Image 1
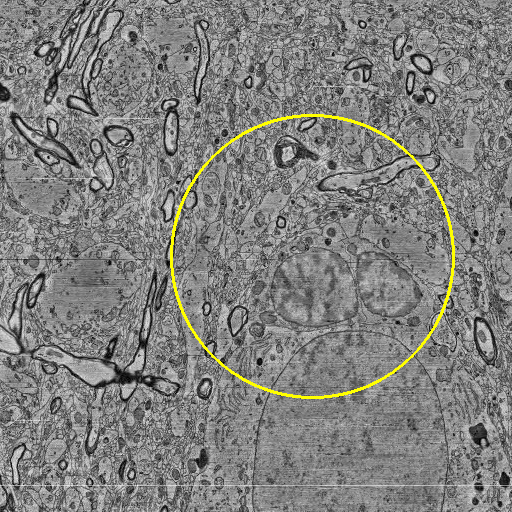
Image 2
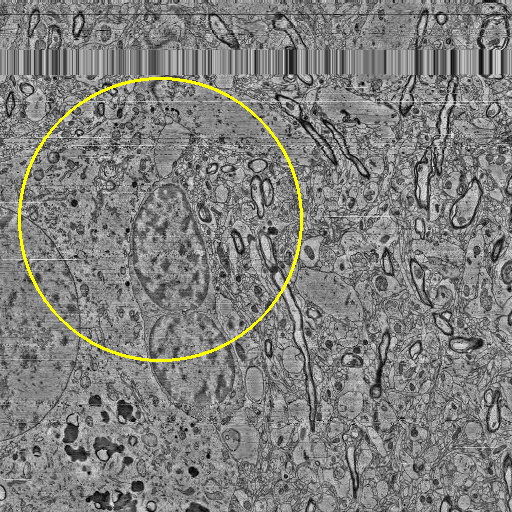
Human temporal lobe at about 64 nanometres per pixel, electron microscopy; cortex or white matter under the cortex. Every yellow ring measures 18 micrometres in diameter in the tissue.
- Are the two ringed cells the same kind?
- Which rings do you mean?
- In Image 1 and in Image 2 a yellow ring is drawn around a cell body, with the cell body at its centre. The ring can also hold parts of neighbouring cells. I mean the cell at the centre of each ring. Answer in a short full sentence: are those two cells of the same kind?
Yes, both cells are of the same kind.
